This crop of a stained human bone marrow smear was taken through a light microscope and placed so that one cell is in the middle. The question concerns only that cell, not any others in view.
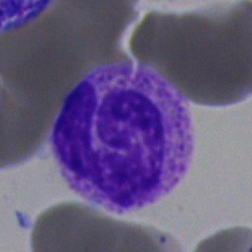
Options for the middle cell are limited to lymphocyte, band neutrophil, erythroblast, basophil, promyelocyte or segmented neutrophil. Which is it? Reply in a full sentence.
In this smear crop, the middle cell is a band neutrophil.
